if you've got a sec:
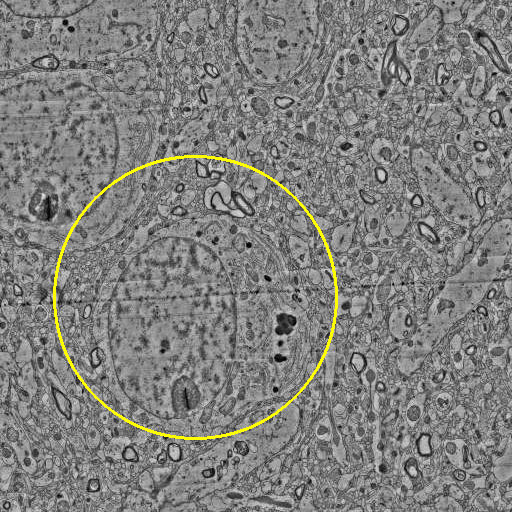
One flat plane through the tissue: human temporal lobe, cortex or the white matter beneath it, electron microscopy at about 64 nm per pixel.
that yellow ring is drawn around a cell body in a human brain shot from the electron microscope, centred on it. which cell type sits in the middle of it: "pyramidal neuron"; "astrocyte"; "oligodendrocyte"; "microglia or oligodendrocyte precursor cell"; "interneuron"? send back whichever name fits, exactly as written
interneuron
